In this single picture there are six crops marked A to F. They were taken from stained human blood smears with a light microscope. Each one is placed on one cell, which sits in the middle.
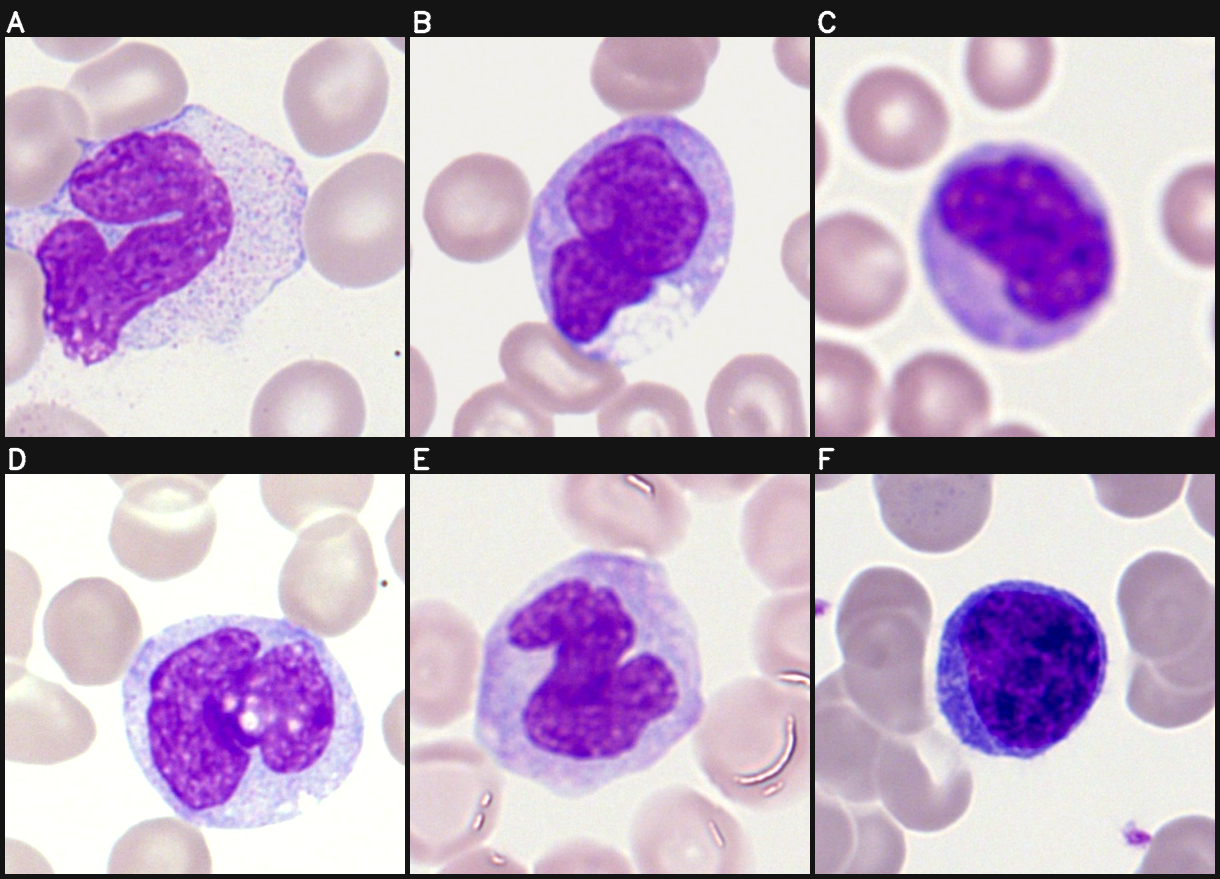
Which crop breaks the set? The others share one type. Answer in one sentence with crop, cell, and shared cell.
Crop F is a lymphocyte, the one exception to the monocytes of the other crops.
